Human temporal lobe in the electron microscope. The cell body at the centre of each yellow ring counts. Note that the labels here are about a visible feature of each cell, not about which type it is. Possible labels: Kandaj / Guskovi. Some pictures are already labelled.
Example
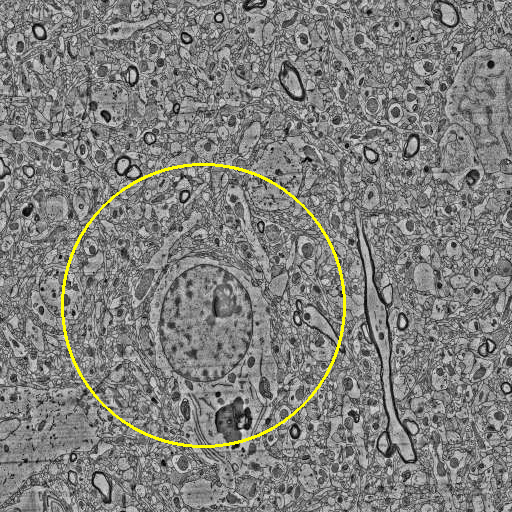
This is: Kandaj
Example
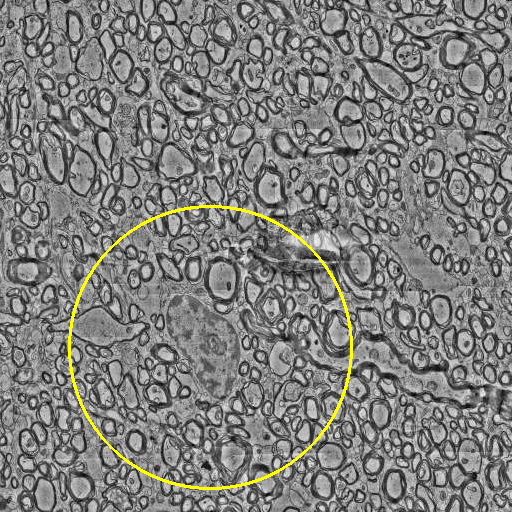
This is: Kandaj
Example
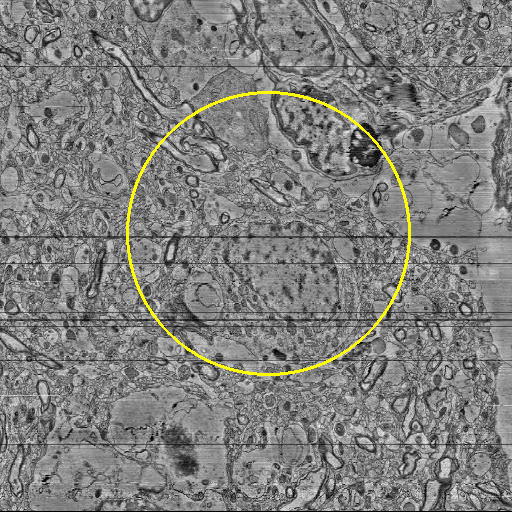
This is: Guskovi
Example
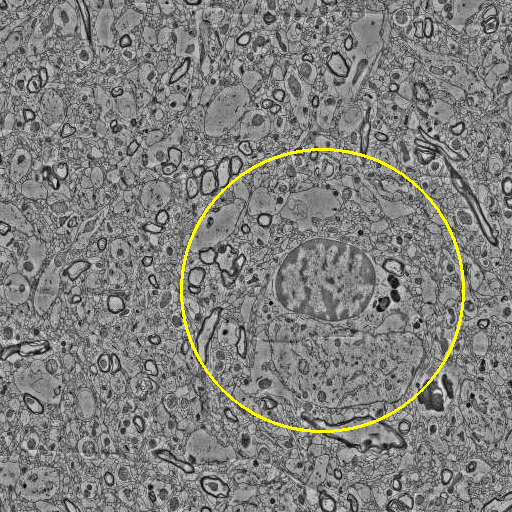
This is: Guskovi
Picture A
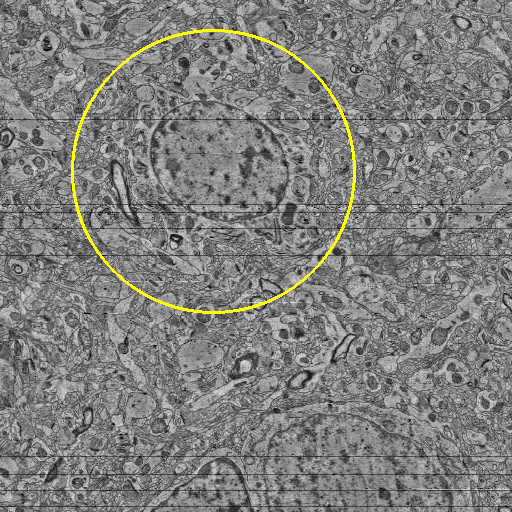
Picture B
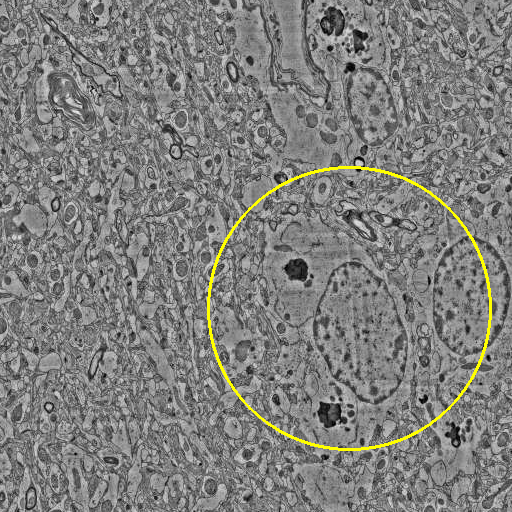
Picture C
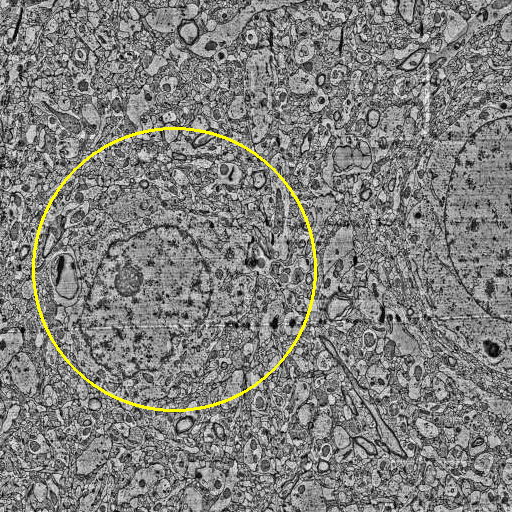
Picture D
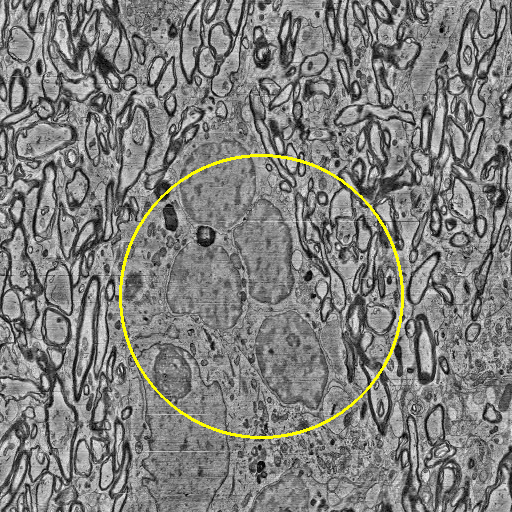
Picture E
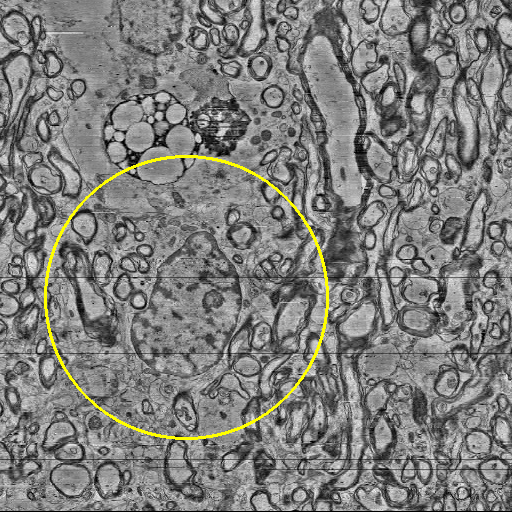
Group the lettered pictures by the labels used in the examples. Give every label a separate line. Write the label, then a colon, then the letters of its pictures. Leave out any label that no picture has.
Kandaj: C, E
Guskovi: A, B, D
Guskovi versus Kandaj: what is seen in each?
In Guskovi: no nucleolus seen. In Kandaj: nucleolus seen.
